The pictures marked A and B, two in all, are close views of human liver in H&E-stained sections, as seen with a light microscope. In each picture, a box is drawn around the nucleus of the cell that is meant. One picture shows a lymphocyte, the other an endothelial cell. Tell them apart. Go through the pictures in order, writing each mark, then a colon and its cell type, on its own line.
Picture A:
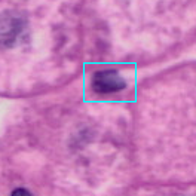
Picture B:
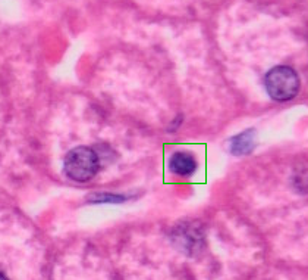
A: endothelial cell
B: lymphocyte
